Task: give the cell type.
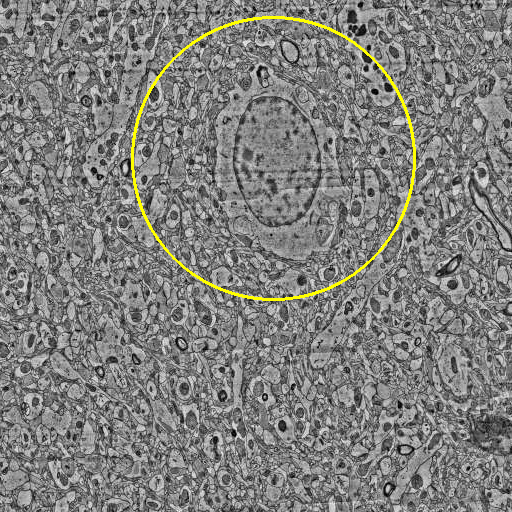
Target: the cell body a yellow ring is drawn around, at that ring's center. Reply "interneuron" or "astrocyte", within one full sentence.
In this picture, the cell whose body lies at the ring's center is an astrocyte.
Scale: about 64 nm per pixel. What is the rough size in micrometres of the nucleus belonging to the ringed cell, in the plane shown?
The nucleus works out at approximately 8 by 6 micrometres in this plane.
